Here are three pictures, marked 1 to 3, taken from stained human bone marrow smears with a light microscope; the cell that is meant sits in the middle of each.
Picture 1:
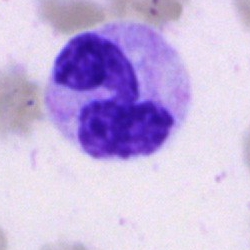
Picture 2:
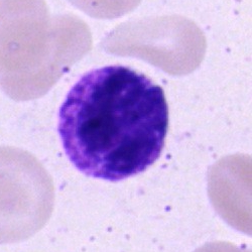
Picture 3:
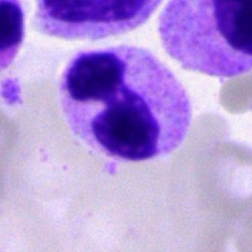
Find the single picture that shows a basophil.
2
